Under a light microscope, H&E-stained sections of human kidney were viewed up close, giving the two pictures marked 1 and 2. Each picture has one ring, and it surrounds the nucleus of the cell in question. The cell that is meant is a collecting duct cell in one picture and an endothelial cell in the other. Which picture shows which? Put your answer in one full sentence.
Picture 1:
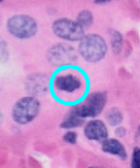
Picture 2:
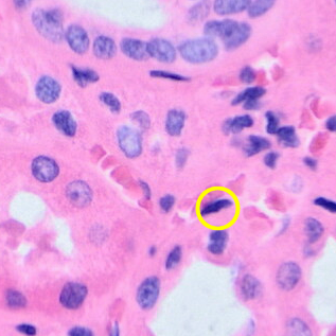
In picture 1 the cell is a collecting duct cell; in picture 2, an endothelial cell.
